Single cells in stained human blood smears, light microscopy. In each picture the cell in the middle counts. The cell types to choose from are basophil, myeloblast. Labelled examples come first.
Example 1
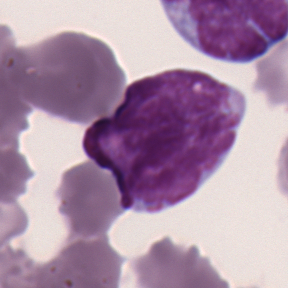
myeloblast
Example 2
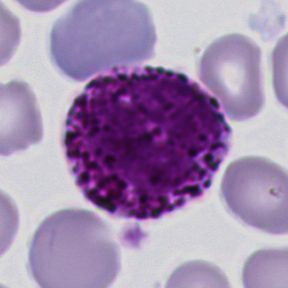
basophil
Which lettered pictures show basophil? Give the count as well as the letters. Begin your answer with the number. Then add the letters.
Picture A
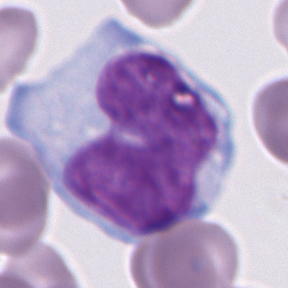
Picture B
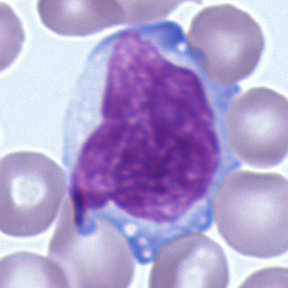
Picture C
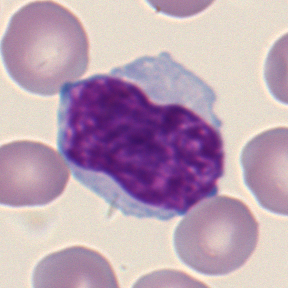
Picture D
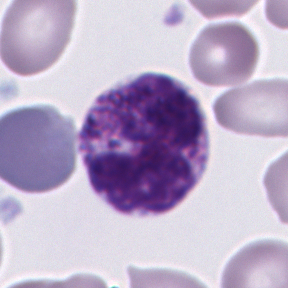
Count: 1 (D)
